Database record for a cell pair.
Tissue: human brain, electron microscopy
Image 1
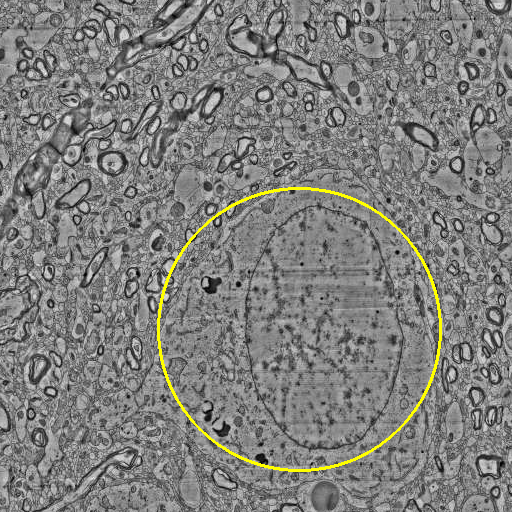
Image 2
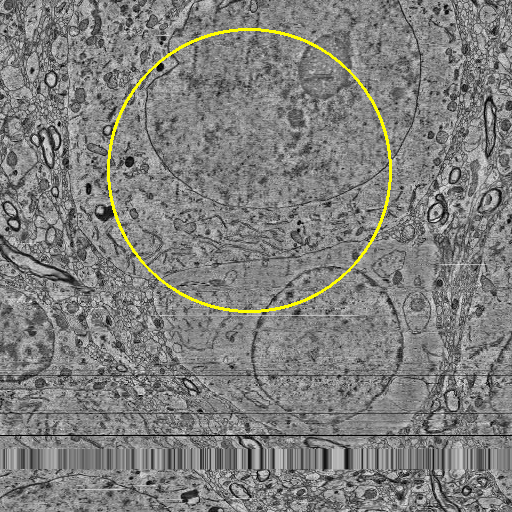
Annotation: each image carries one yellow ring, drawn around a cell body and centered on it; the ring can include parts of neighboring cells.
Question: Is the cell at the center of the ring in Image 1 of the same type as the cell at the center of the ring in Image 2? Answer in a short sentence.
Yes, the cells are of the same type.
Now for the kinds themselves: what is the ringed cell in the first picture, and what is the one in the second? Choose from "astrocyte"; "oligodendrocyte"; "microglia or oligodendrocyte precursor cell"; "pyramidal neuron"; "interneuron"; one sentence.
Each of the two rings surrounds a pyramidal neuron.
